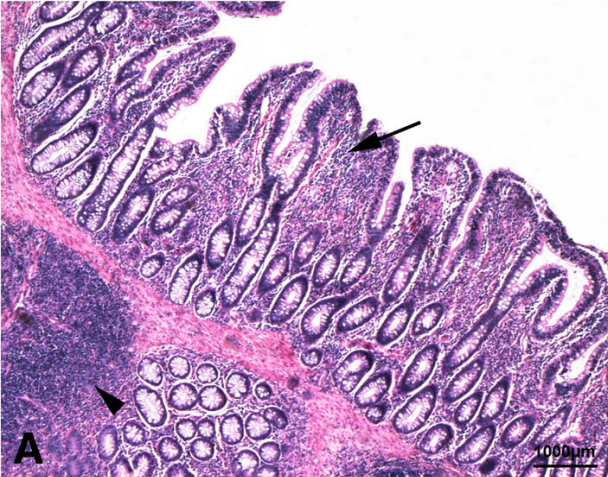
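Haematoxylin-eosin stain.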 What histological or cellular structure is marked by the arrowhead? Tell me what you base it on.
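The aggregate lies beneath the crypts.
Answer: gut-associated lymphoid tissue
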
